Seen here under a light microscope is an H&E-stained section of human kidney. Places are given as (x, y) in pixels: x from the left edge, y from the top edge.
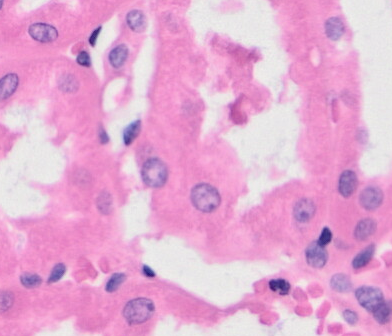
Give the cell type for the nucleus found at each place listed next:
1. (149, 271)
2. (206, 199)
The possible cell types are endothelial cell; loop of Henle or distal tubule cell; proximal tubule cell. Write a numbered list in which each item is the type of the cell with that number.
1. endothelial cell
2. proximal tubule cell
